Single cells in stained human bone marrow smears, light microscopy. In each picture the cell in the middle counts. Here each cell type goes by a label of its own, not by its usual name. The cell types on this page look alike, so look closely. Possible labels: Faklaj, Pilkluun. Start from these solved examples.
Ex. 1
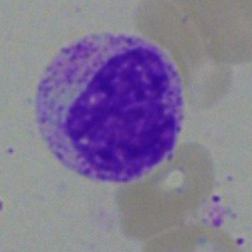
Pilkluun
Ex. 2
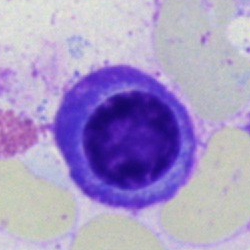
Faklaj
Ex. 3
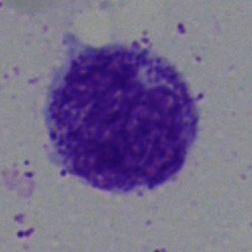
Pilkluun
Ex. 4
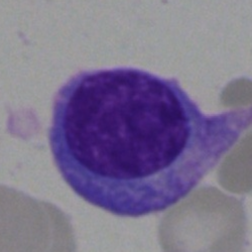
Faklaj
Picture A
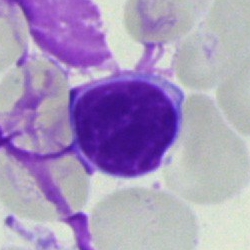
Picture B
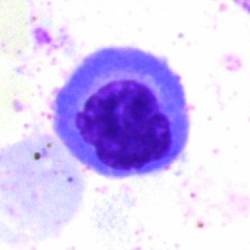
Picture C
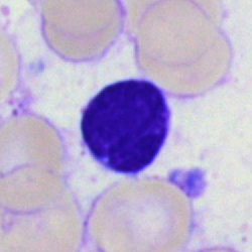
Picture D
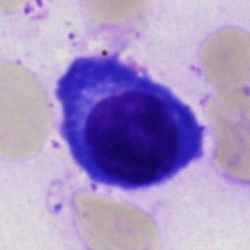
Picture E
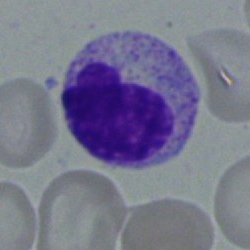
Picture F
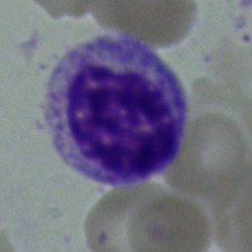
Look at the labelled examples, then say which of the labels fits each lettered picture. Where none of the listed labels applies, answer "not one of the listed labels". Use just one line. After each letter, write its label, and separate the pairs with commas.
A not one of the listed labels, B Faklaj, C not one of the listed labels, D Faklaj, E Pilkluun, F Pilkluun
